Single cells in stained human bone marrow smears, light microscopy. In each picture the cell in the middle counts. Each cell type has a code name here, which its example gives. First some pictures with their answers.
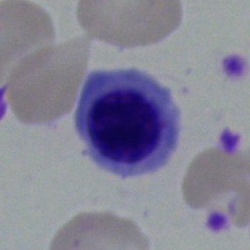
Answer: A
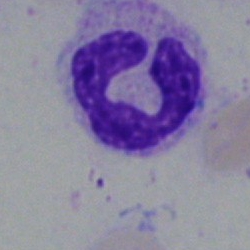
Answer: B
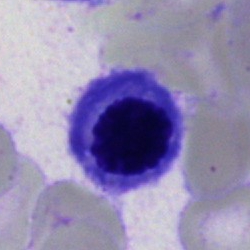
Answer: A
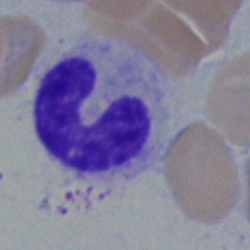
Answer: B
